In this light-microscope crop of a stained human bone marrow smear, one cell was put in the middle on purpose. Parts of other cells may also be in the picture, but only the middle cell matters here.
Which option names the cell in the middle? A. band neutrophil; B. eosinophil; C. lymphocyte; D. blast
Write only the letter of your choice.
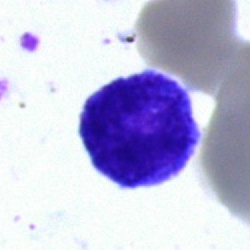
C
